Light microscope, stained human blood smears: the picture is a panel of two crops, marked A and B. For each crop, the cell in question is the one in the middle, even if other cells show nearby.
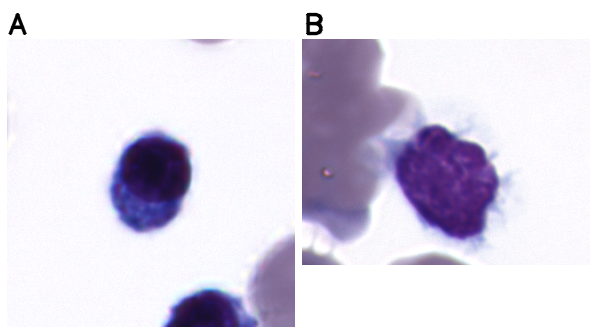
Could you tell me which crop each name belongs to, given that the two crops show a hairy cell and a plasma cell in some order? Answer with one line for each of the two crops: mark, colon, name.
A: plasma cell
B: hairy cell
